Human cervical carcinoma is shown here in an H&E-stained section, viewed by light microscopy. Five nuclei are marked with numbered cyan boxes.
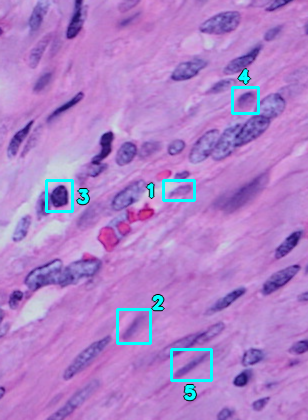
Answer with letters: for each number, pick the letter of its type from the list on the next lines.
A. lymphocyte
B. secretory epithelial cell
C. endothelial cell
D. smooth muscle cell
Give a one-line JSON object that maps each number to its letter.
{"1": "C", "2": "D", "3": "A", "4": "C", "5": "D"}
